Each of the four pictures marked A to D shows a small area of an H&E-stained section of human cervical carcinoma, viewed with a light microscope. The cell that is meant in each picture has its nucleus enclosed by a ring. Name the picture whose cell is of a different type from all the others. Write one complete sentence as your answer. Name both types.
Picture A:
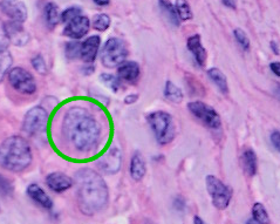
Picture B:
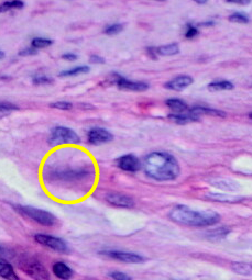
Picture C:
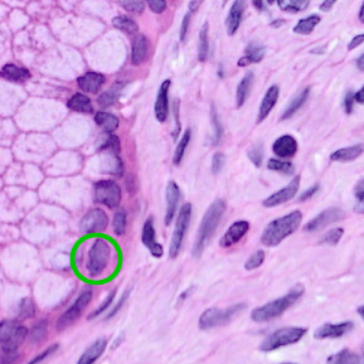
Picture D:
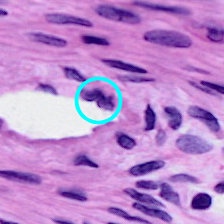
The others show endothelial cells, but picture C shows a secretory epithelial cell.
